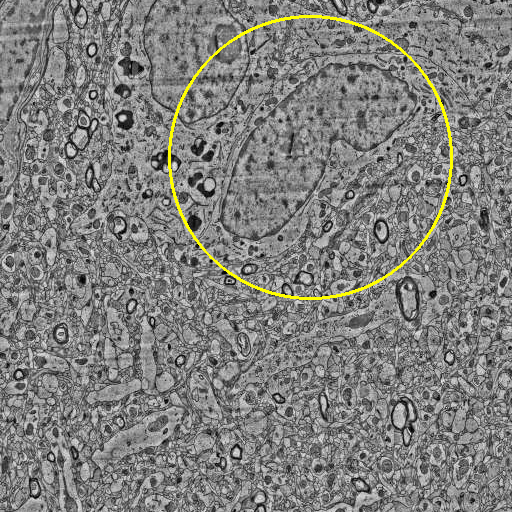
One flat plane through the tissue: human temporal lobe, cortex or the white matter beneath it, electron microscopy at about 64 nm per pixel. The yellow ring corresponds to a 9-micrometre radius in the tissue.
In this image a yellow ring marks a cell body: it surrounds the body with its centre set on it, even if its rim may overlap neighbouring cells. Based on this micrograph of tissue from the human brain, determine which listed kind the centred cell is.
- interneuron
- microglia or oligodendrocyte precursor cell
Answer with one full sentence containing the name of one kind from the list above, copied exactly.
It is a microglial cell or oligodendrocyte precursor cell whose body the yellow ring encloses at its centre.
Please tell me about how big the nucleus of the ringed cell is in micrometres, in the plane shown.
In this plane the nucleus is roughly 9 by 5 micrometres, clearly longer than it is wide.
